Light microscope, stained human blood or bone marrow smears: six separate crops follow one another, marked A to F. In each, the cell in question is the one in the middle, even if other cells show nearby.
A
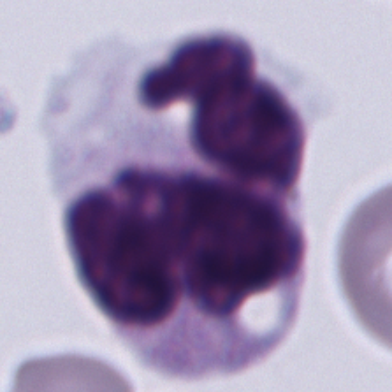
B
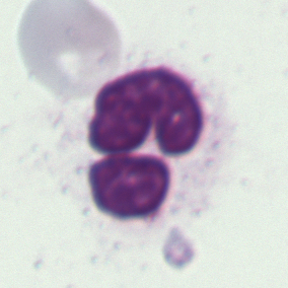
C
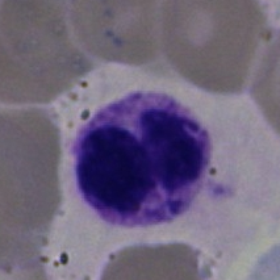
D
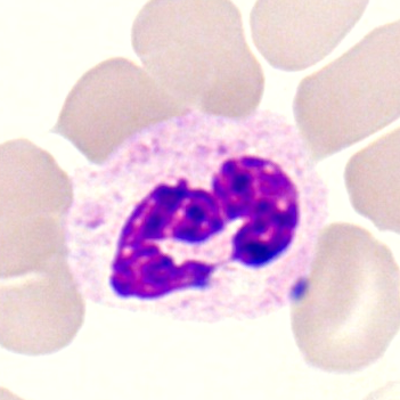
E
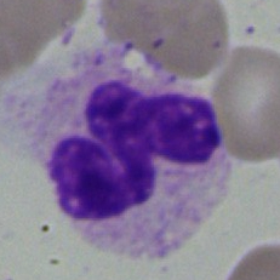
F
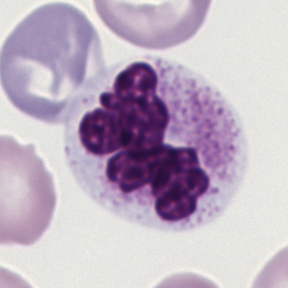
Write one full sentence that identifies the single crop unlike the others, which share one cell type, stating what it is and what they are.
Whereas the other crops show neutrophils, crop C is a basophil.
